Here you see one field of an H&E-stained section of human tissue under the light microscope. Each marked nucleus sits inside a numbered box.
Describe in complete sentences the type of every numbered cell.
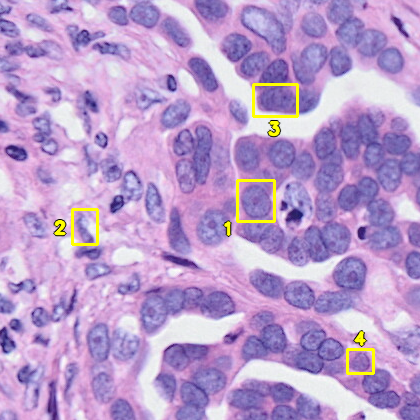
Cell 1 is a carcinoma cell, cell 2 is a fibroblast, cell 3 is a carcinoma cell and cell 4 is a carcinoma cell.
